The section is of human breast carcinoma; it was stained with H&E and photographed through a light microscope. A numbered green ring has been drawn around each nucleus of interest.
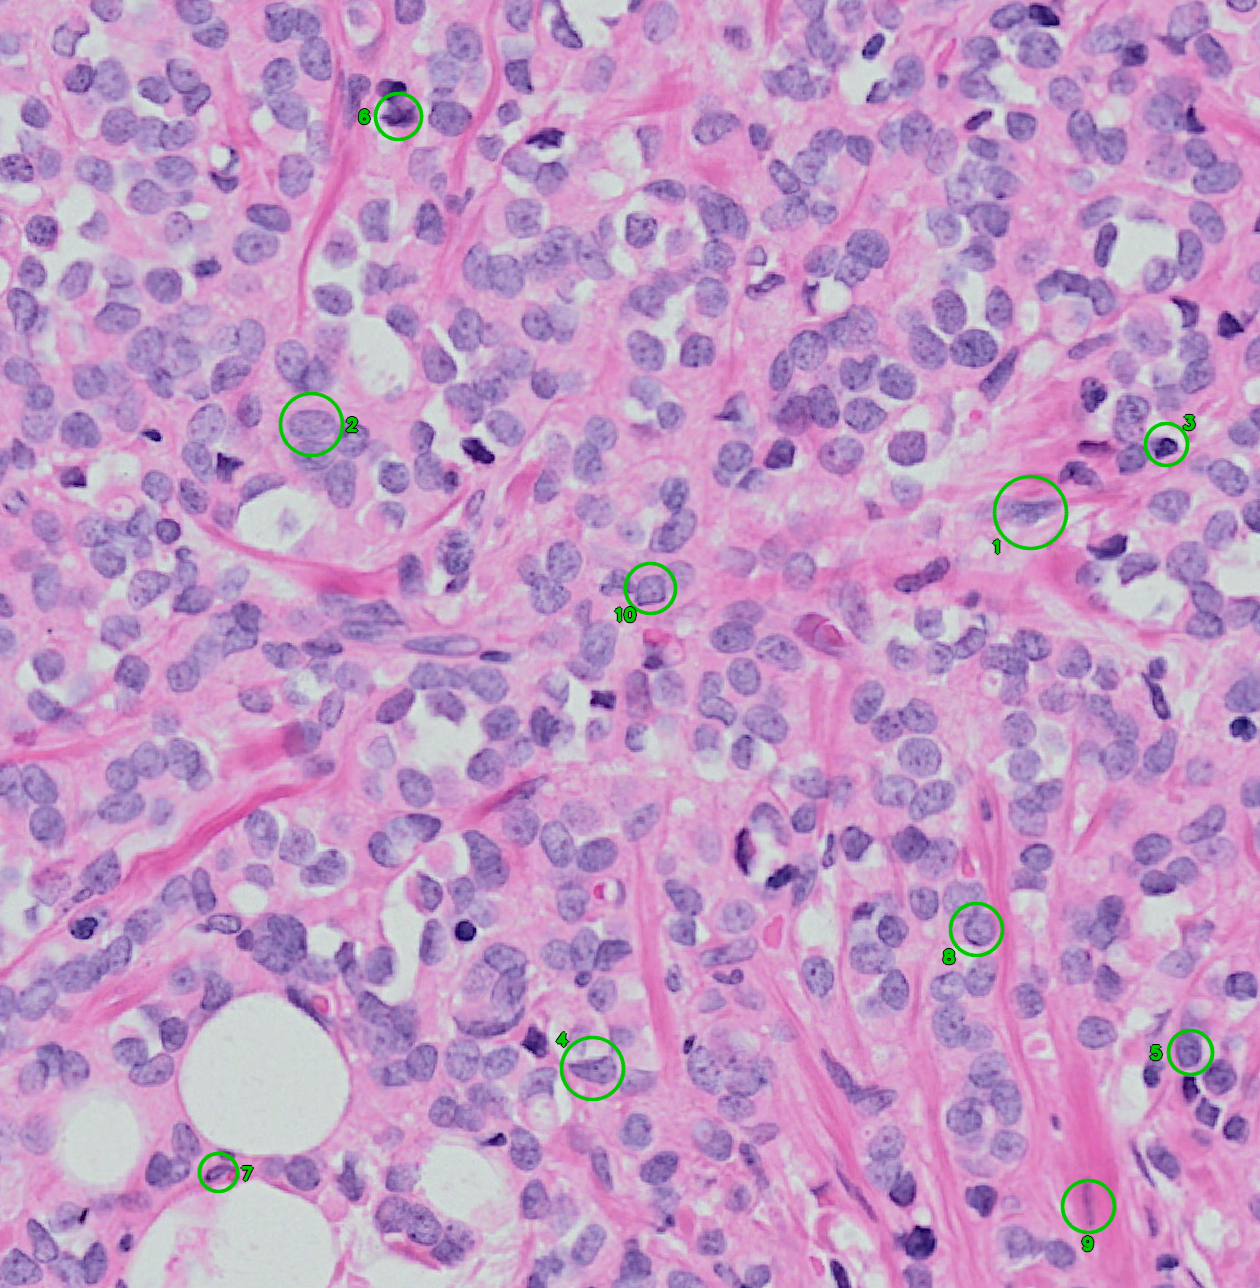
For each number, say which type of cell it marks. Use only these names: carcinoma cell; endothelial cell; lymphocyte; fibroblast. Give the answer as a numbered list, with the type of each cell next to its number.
1. fibroblast
2. carcinoma cell
3. lymphocyte
4. carcinoma cell
5. carcinoma cell
6. carcinoma cell
7. endothelial cell
8. carcinoma cell
9. fibroblast
10. carcinoma cell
